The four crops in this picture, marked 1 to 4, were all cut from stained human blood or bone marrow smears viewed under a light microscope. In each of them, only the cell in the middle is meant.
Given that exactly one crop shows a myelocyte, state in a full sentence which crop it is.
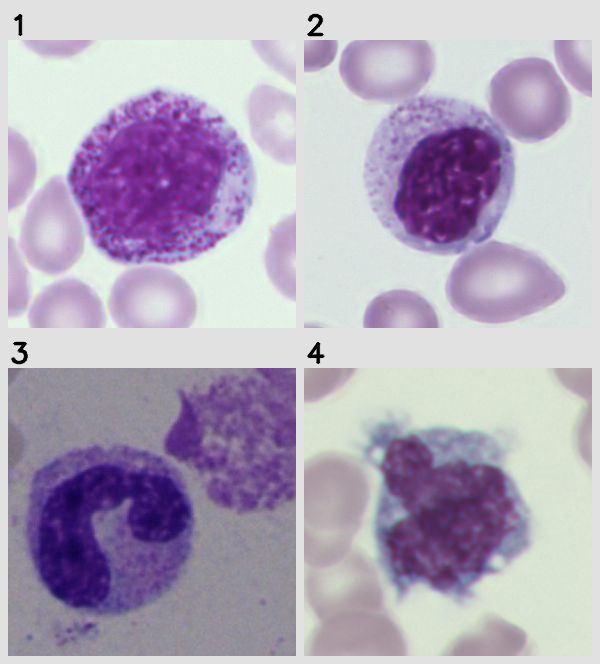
Crop 1 is the one depicting a myelocyte.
